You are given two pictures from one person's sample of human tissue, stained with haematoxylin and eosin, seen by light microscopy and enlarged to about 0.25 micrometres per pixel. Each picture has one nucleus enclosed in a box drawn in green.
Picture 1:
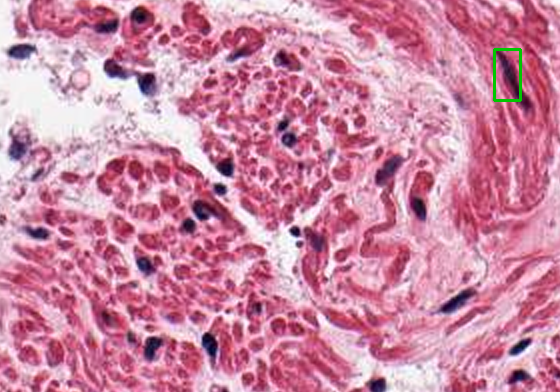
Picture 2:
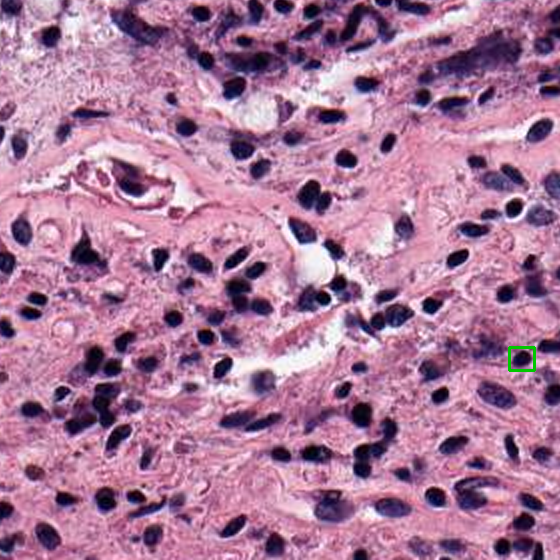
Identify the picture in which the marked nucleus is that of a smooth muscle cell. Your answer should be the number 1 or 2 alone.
1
